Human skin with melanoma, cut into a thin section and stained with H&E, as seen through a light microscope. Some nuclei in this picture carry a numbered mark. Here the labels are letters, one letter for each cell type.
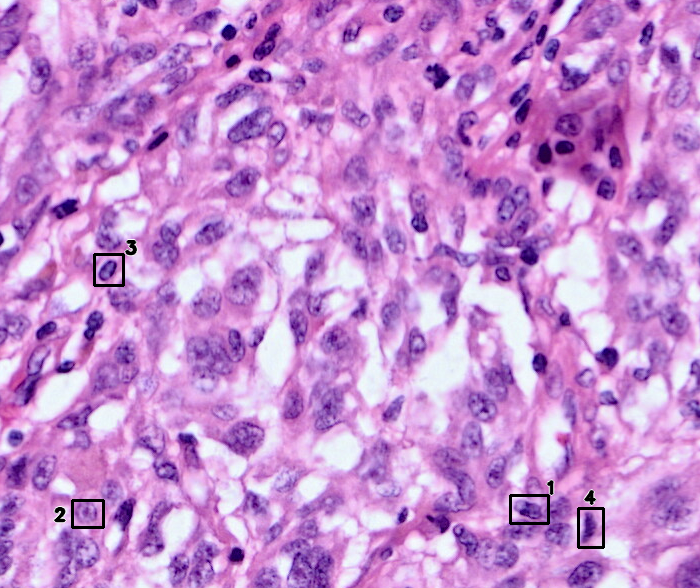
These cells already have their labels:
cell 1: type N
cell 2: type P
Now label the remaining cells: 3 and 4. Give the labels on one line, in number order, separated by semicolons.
type N; type P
